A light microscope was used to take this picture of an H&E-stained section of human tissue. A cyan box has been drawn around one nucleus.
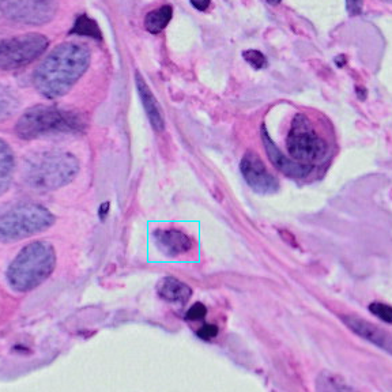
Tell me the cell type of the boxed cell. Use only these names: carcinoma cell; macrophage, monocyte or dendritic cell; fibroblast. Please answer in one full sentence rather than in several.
In this tissue sample, the boxed cell is a macrophage, monocyte or dendritic cell.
